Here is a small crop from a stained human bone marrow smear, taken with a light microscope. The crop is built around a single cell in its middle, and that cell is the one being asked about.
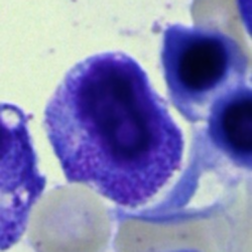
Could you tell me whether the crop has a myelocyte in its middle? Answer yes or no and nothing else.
yes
